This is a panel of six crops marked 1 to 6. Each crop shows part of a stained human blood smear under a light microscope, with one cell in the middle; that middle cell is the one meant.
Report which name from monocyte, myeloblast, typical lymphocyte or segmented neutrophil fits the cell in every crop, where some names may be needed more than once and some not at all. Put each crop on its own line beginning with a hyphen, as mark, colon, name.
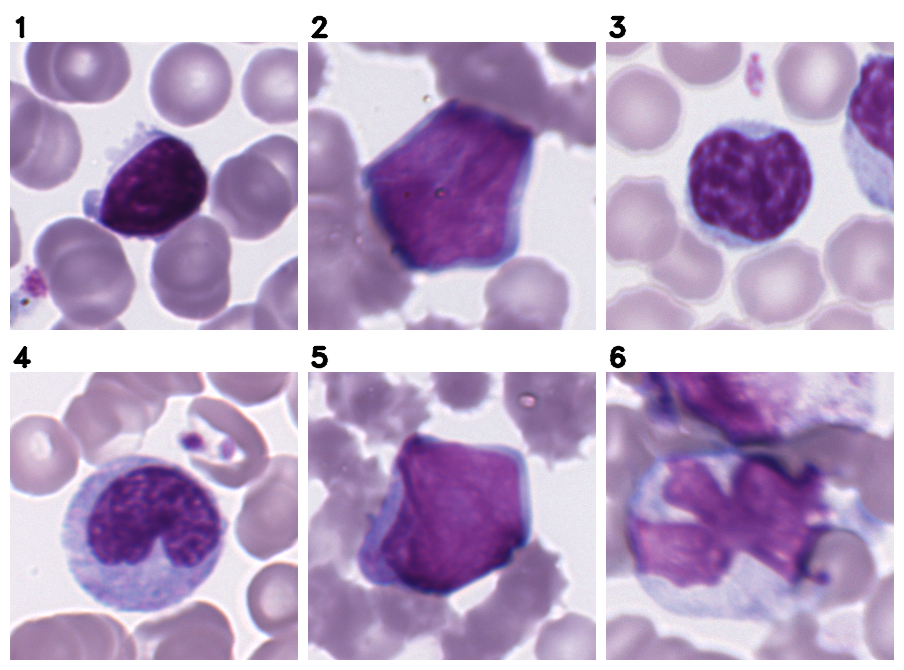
- 1: typical lymphocyte
- 2: myeloblast
- 3: typical lymphocyte
- 4: monocyte
- 5: myeloblast
- 6: monocyte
